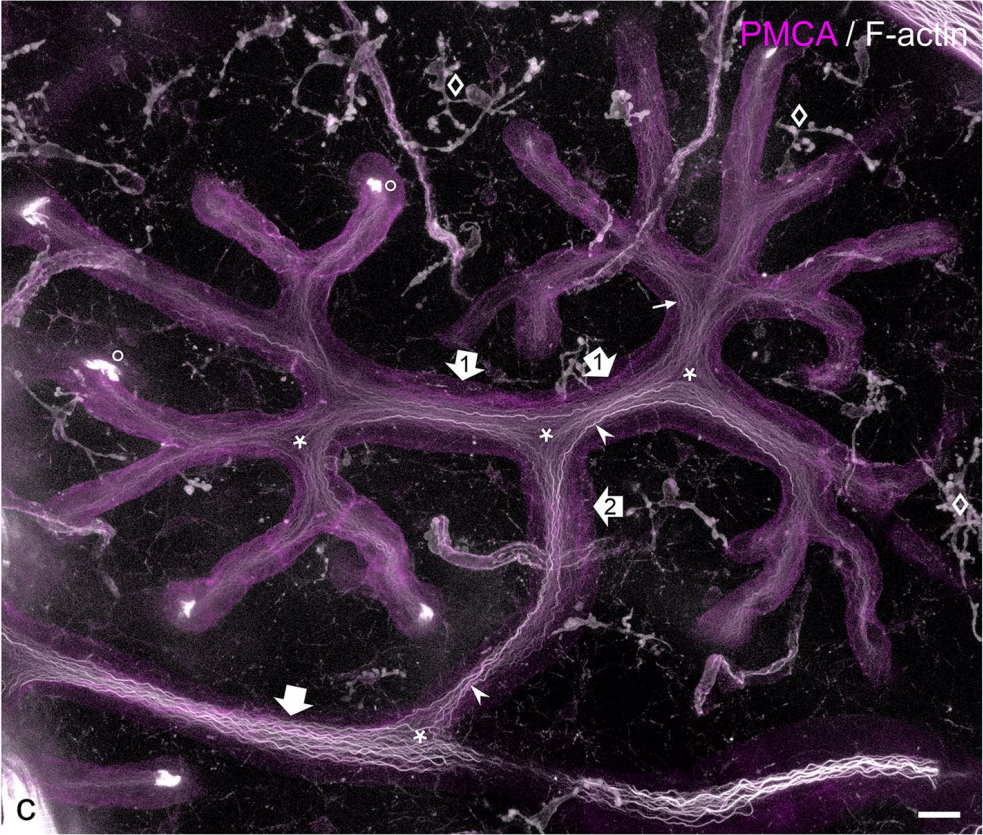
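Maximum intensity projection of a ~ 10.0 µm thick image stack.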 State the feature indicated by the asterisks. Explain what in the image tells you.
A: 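Each asterisk lies where two branches join. Filaments there diverge into a triangular pattern. On this evidence: triangular arrays.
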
